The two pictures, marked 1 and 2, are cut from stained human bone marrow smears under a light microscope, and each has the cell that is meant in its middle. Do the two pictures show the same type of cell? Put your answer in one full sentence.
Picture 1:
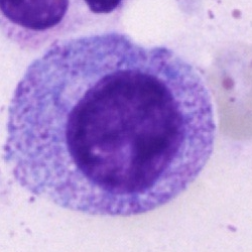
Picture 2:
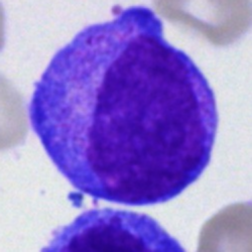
Yes, both are promyelocytes.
